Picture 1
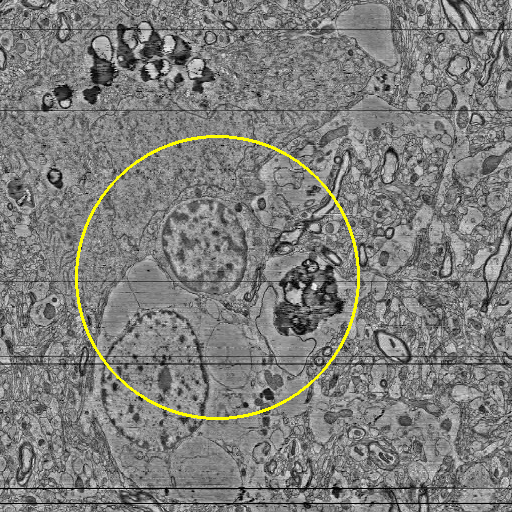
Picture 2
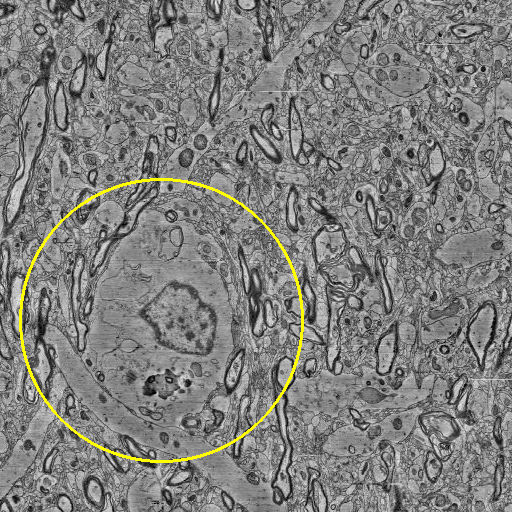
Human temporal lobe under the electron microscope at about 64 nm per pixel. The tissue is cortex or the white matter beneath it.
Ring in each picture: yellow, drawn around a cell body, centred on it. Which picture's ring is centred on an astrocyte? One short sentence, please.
Picture 2 is the one.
